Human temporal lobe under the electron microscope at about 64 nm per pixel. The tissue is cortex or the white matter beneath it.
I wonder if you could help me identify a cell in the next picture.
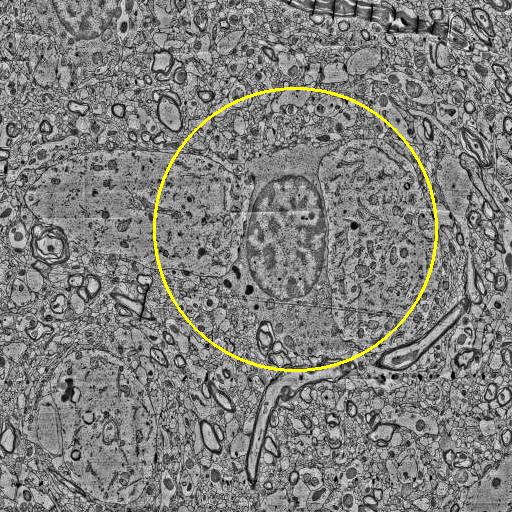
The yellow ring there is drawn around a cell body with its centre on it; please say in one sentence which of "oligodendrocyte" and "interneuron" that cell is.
The yellow ring is centred on an oligodendrocyte.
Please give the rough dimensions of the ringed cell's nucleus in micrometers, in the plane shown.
The ringed cell's nucleus is about 8 micrometres long and 5 micrometres wide in this plane.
